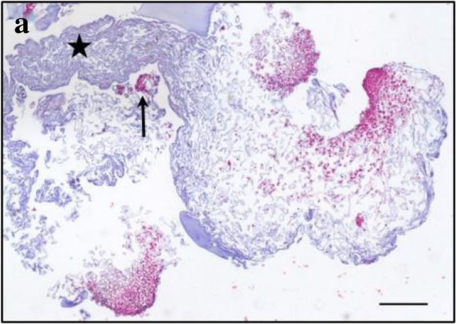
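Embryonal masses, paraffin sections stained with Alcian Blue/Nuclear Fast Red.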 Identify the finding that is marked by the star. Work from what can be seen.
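The starred area is pale blue-violet with no red nuclei. Its texture is compressed and fibrous, without intact cells. The answer: dead material.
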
